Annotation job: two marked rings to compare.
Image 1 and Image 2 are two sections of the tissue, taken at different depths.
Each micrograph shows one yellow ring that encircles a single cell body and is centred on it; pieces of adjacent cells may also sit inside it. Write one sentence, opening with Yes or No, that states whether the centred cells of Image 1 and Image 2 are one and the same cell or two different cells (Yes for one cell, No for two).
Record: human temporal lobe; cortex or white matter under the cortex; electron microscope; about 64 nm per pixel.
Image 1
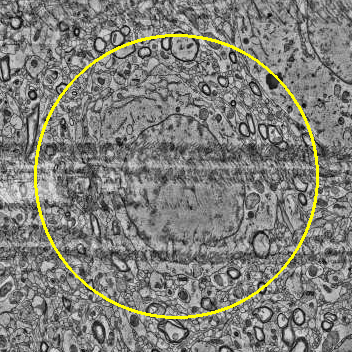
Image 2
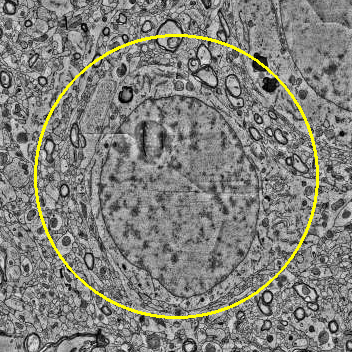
Yes, the two rings refer to one cell in the tissue.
